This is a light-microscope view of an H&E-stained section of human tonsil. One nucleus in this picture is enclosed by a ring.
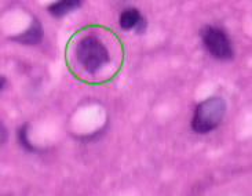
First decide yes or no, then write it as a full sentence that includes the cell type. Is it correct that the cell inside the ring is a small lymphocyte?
No, it is as a squamous epithelial cell, not a small lymphocyte, that the cell inside the ring is classified.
